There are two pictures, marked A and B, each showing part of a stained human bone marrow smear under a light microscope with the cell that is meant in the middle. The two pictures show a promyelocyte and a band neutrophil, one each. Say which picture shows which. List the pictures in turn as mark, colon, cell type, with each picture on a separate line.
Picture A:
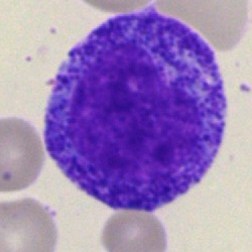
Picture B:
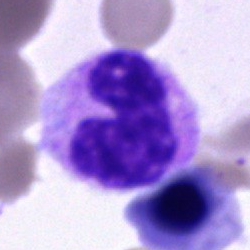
A: promyelocyte
B: band neutrophil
